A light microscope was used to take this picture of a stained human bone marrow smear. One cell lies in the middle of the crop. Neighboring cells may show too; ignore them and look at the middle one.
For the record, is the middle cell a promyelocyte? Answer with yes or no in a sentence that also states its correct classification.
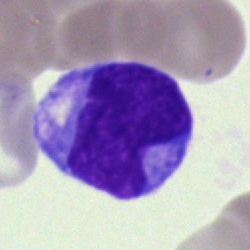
No, instead of a promyelocyte, the centred cell represents a monocyte.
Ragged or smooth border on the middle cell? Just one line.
Edge check done: smooth outline, no projections present.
